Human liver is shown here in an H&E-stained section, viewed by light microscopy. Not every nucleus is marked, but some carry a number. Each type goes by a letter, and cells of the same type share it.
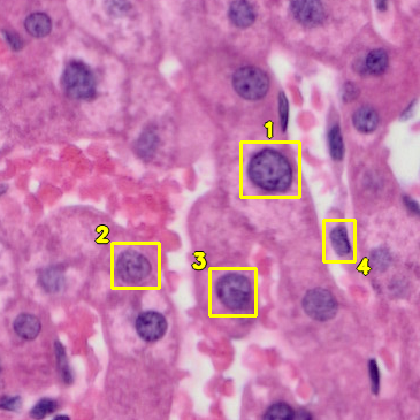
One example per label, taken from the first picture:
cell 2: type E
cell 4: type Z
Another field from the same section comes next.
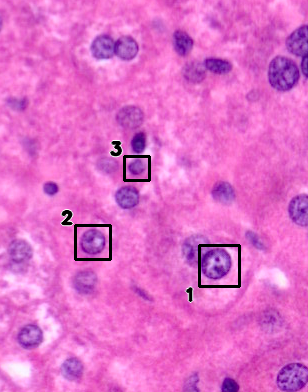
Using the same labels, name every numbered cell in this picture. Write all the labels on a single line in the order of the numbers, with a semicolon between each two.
type E; type E; type Z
